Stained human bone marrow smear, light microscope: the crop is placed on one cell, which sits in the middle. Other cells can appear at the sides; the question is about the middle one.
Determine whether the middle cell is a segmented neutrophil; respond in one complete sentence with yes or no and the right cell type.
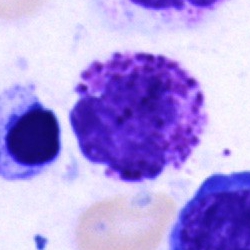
No, what lies at the heart of the crop is a basophil, not a segmented neutrophil.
